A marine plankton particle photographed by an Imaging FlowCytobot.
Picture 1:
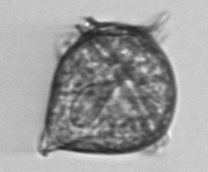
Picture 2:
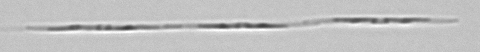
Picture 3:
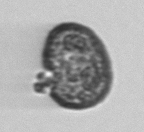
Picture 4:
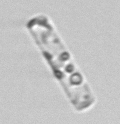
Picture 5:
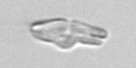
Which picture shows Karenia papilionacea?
Picture 5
